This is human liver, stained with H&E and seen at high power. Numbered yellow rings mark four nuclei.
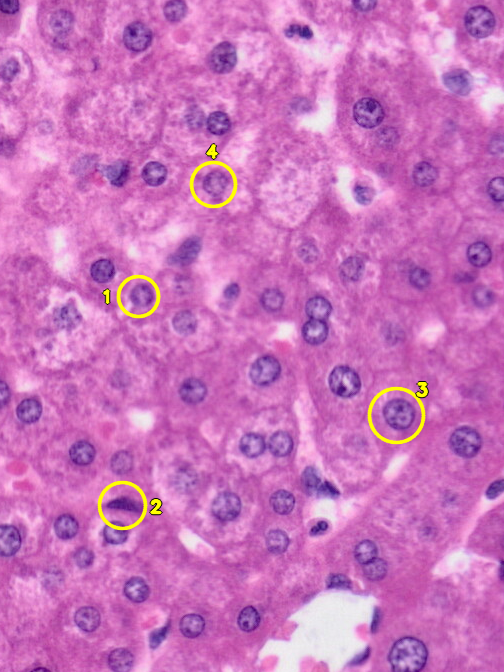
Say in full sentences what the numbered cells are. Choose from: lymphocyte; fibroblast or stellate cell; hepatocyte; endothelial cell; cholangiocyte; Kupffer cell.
Cell 1 is a hepatocyte, cell 2 is a fibroblast or stellate cell, cell 3 is a hepatocyte and cell 4 is a hepatocyte.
